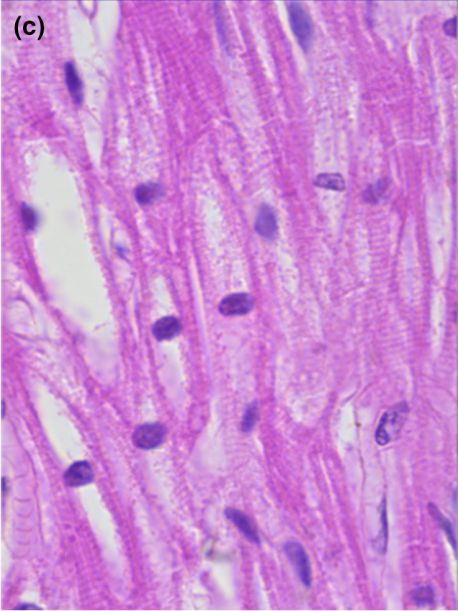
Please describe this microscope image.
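Heart muscle in longitudinal section, with elongated cardiomyocytes running in parallel. Pale, clear spaces lie between some fibres, and parts of the cytoplasm look pale and finely vacuolated.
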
